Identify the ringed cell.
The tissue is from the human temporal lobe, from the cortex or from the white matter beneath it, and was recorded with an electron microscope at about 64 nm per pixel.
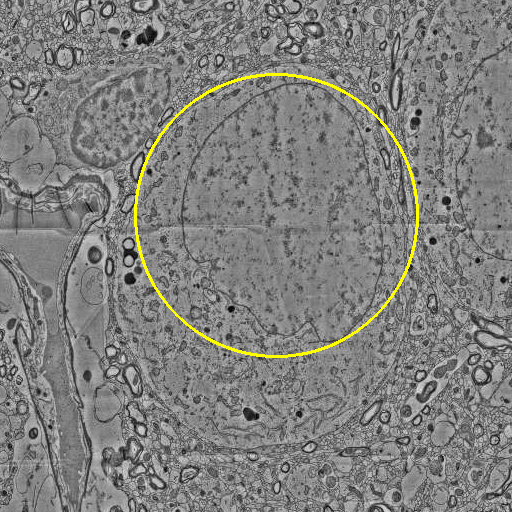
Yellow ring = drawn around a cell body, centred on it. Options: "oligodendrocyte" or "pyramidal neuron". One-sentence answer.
What the ring is centred on is a pyramidal neuron.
